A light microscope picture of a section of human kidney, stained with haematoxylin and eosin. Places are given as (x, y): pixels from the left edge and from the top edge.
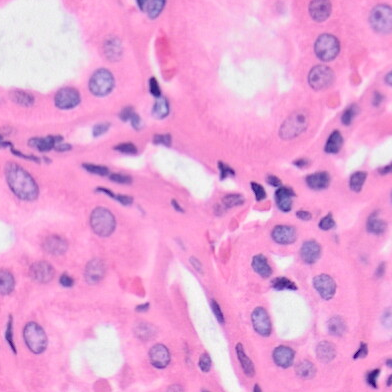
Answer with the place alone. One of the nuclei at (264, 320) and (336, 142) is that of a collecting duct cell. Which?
(336, 142)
